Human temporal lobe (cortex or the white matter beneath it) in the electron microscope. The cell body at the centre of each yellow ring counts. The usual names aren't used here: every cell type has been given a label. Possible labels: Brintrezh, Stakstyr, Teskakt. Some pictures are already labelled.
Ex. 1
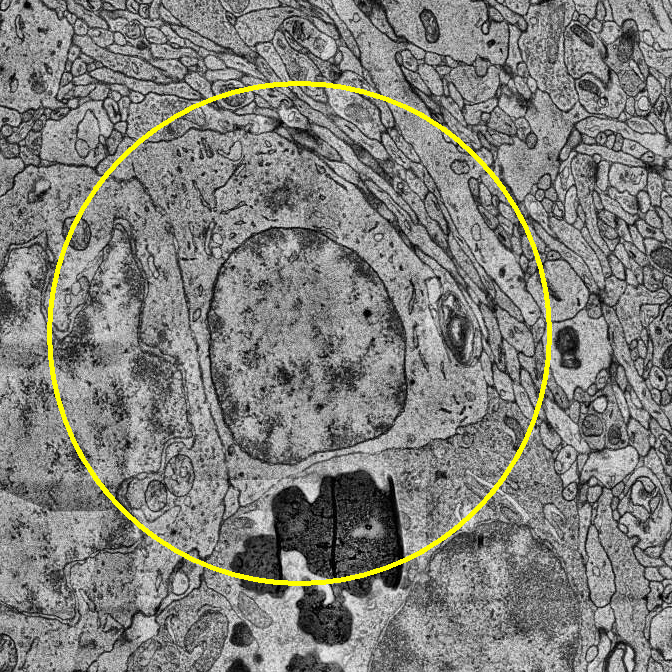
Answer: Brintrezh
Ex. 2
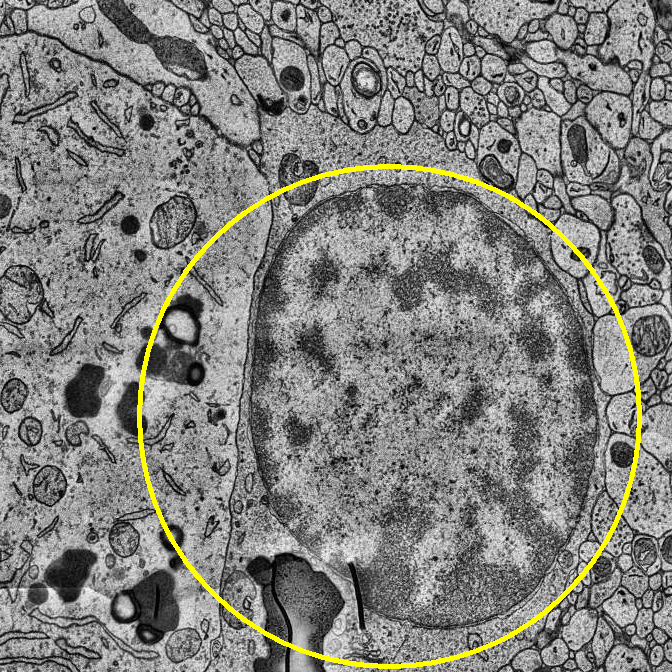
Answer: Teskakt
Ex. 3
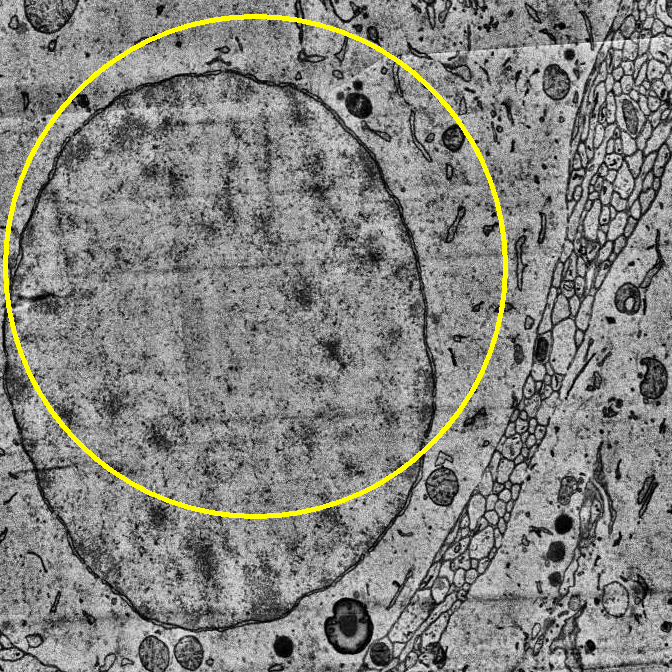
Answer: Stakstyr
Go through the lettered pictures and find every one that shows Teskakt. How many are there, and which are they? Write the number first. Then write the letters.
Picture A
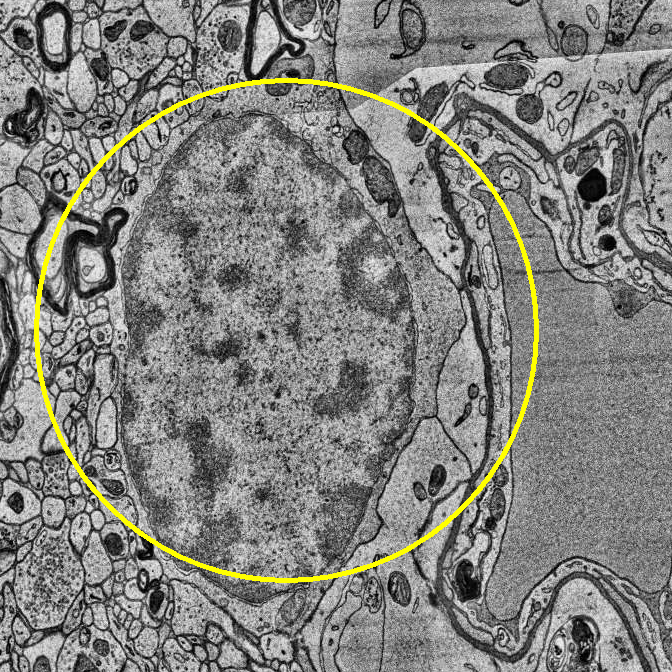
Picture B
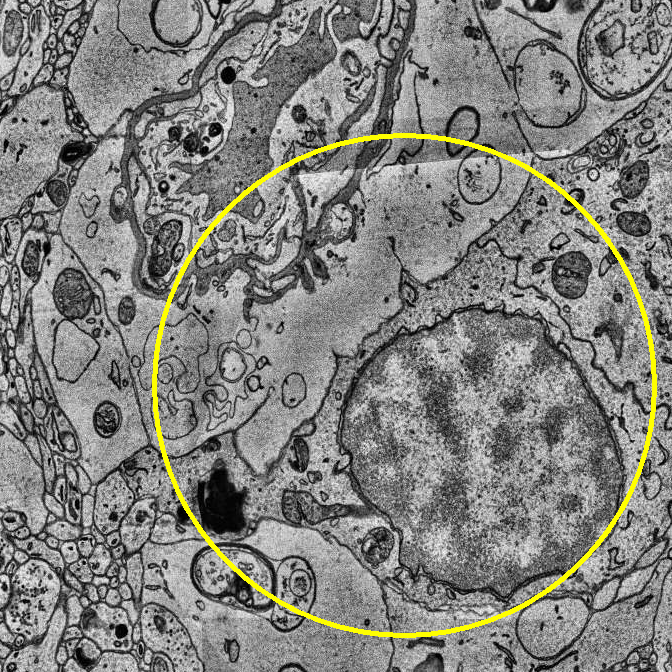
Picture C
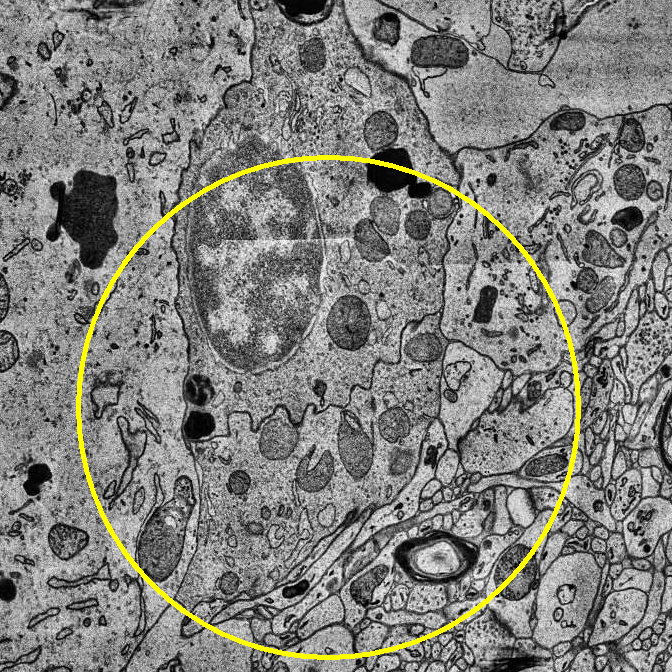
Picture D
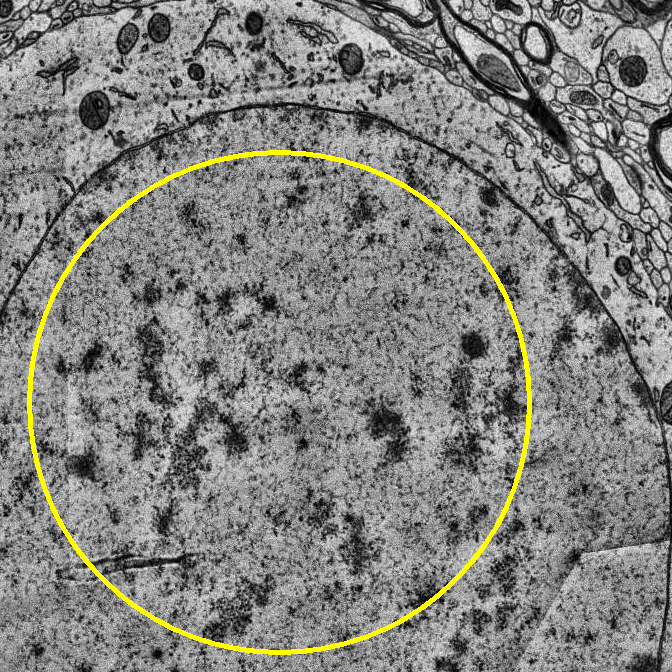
3, namely A, B, C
